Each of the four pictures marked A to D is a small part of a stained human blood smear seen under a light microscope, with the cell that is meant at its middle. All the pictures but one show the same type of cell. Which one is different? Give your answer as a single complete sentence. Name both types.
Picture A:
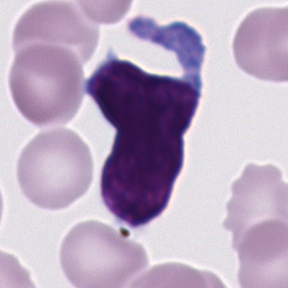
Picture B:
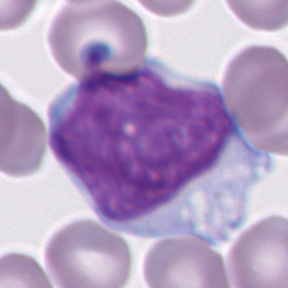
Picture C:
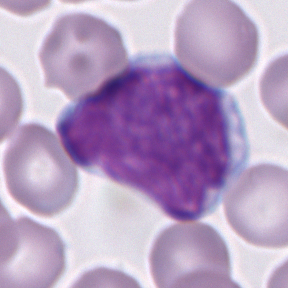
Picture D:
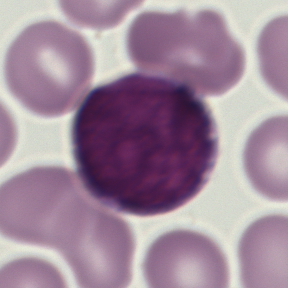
All pictures except A show myeloblasts; picture A shows a typical lymphocyte.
